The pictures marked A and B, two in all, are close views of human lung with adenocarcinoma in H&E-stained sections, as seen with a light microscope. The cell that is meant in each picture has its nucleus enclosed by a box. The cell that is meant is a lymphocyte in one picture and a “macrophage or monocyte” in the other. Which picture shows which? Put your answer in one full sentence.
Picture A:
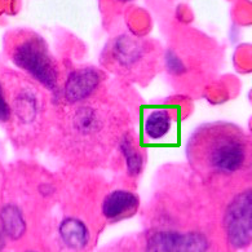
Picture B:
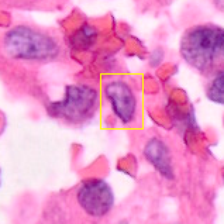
The cell in picture A is a lymphocyte, and the one in picture B is a “macrophage or monocyte”.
